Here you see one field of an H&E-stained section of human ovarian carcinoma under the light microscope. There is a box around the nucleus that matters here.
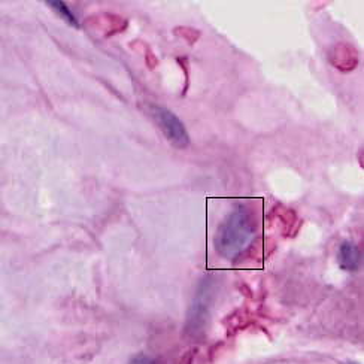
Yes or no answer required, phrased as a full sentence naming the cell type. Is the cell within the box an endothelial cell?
Yes, an endothelial cell is what the cell within the box represents in this tissue.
